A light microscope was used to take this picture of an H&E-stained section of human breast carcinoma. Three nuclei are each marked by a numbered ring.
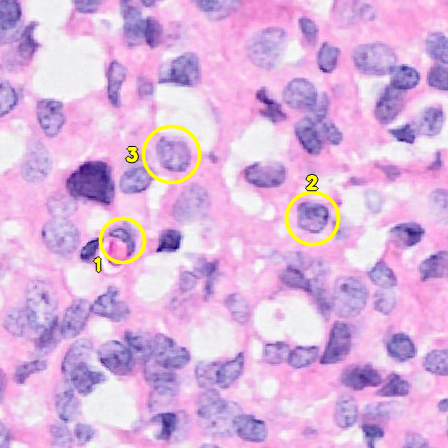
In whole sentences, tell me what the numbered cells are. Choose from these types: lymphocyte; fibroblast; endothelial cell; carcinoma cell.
Cell 1 is an endothelial cell, cell 2 is a carcinoma cell and cell 3 is a carcinoma cell.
